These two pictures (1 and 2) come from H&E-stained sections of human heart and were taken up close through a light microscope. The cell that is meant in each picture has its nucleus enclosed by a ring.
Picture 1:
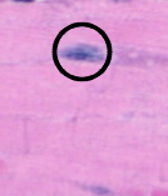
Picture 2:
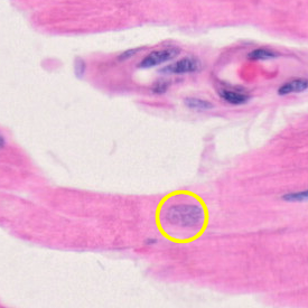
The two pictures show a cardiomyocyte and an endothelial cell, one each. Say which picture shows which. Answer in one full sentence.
The cell in picture 1 is an endothelial cell, and the one in picture 2 is a cardiomyocyte.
